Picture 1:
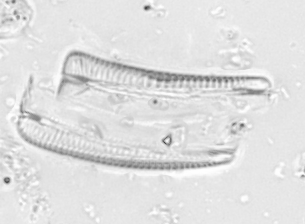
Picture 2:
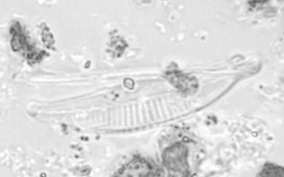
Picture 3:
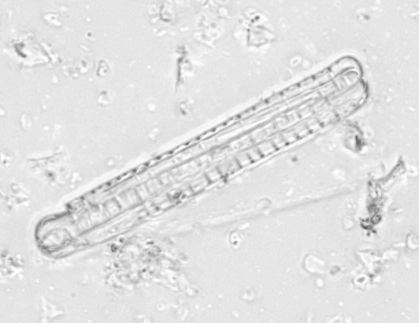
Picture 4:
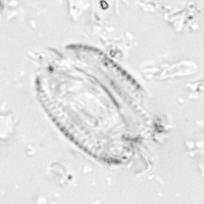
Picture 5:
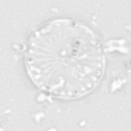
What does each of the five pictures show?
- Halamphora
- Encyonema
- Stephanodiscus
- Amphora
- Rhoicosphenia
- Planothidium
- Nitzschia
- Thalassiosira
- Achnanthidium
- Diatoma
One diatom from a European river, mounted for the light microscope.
1: Rhoicosphenia
2: Halamphora
3: Diatoma
4: Amphora
5: Stephanodiscus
